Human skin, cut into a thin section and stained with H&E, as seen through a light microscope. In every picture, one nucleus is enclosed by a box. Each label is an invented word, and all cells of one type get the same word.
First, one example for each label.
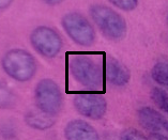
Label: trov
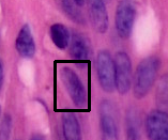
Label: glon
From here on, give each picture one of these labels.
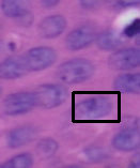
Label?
trov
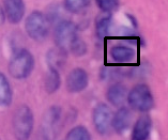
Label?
glon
